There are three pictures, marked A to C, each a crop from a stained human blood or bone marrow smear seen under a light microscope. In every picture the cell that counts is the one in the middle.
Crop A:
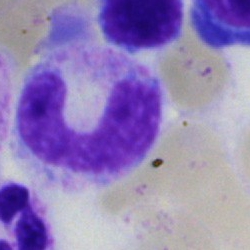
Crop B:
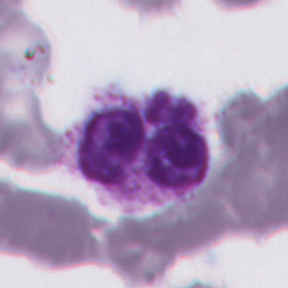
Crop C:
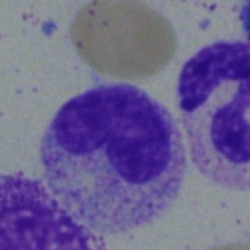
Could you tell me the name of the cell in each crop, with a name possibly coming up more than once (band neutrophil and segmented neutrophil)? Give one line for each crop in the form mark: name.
A: band neutrophil
B: segmented neutrophil
C: band neutrophil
